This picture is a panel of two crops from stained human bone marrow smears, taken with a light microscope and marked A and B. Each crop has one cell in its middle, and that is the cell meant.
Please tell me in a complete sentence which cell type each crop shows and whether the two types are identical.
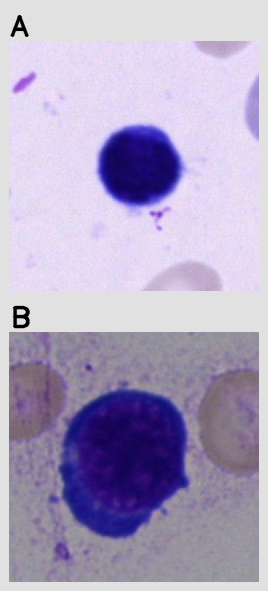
No, the middle of crop A shows a lymphocyte, and the middle of crop B shows a normoblast.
